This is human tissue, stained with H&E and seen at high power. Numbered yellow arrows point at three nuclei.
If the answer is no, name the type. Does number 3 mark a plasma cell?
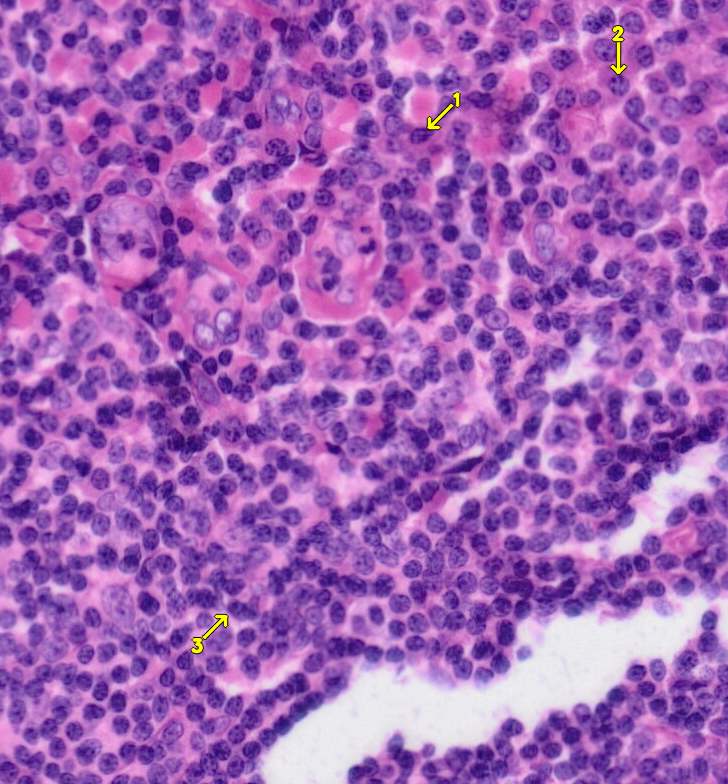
No, it is a small lymphocyte.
